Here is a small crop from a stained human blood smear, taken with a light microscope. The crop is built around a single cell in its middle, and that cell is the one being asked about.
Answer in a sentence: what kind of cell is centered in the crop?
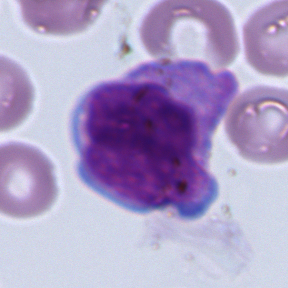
Positioned in the middle of the crop is an atypical promyelocyte.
